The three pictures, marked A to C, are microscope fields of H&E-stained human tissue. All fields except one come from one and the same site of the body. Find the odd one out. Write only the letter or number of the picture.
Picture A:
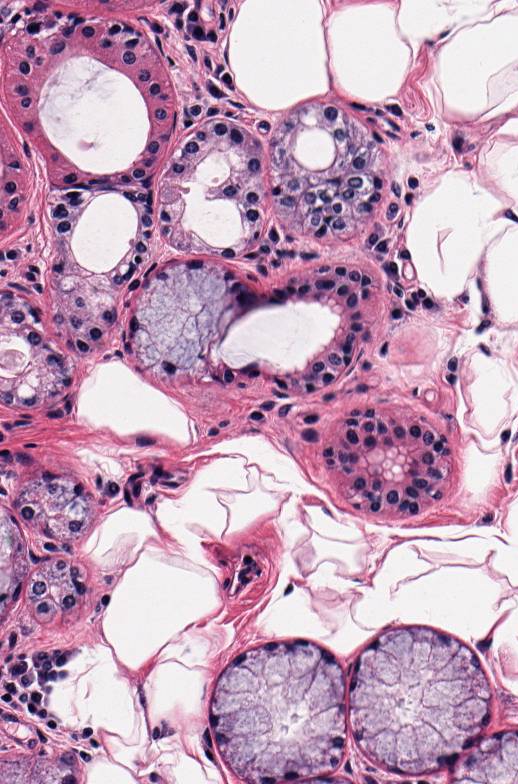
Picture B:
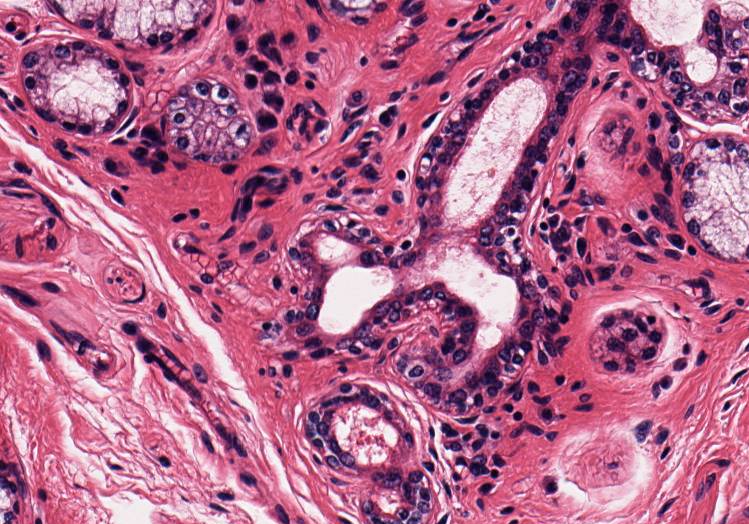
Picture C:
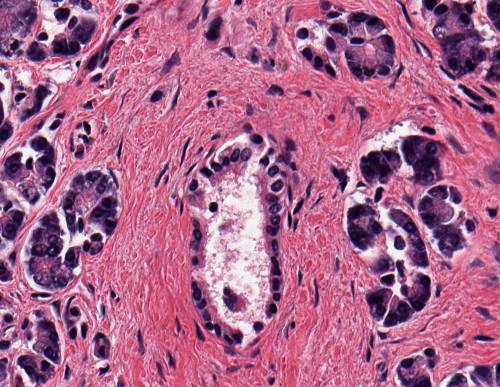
C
